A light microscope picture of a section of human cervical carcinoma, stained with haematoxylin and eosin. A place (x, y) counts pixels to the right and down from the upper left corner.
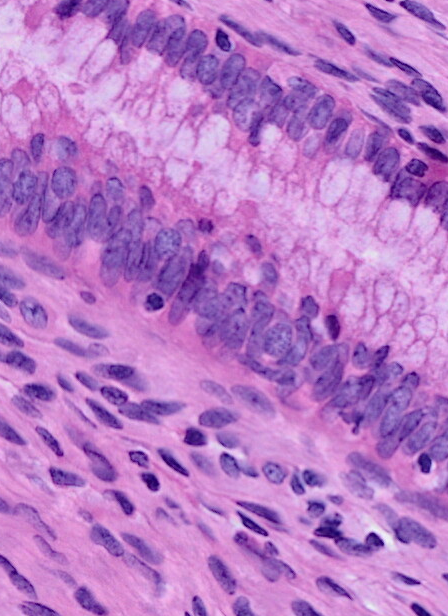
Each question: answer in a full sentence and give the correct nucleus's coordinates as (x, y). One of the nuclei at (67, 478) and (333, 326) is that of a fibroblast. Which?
The cell to which the nucleus at (67, 478) belongs is a fibroblast.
